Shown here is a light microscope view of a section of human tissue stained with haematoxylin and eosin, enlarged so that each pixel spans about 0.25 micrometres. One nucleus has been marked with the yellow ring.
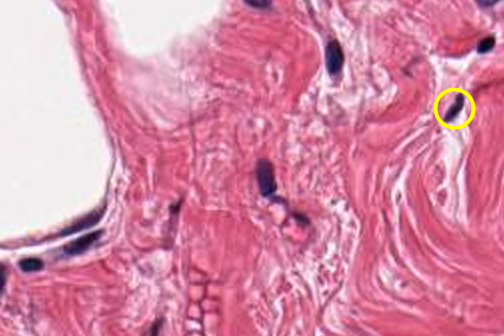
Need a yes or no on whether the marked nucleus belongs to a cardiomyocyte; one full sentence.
No, the marked nucleus belongs to a supporting cell, and a cardiomyocyte is not its owner.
